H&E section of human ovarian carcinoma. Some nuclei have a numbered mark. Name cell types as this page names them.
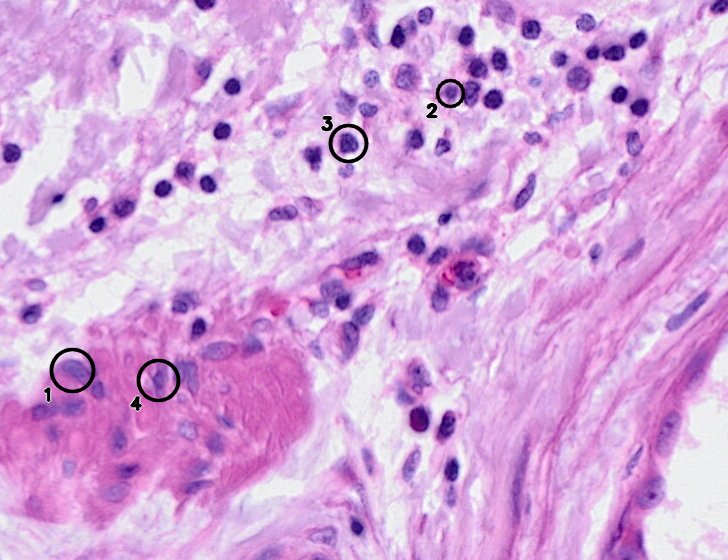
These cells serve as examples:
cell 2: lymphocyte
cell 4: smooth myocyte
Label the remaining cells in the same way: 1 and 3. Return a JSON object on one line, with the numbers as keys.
{"1": "smooth myocyte", "3": "lymphocyte"}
